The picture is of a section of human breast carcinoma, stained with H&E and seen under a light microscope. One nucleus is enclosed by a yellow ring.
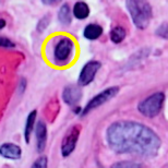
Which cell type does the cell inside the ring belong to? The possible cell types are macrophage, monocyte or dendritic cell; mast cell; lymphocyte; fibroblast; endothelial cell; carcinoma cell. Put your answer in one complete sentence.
In this tissue sample, the cell inside the ring is a mast cell.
